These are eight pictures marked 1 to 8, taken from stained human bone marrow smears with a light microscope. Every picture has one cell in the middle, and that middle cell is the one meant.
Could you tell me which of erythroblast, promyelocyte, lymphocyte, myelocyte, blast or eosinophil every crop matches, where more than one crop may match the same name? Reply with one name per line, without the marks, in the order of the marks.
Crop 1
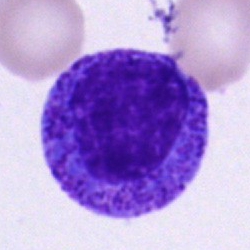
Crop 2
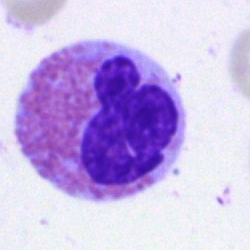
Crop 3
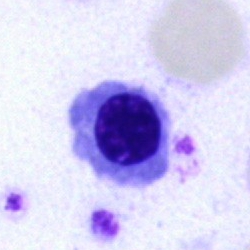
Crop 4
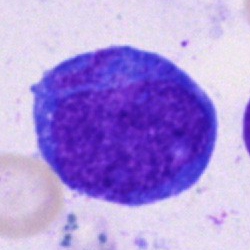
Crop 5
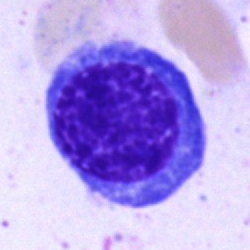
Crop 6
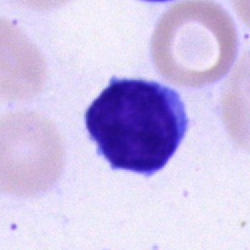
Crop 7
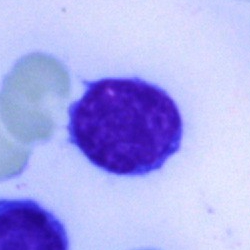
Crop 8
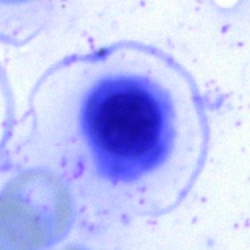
promyelocyte
eosinophil
erythroblast
promyelocyte
erythroblast
lymphocyte
lymphocyte
erythroblast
